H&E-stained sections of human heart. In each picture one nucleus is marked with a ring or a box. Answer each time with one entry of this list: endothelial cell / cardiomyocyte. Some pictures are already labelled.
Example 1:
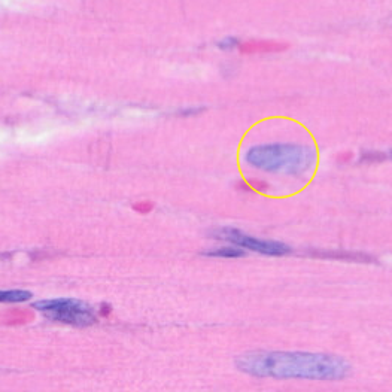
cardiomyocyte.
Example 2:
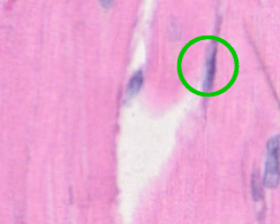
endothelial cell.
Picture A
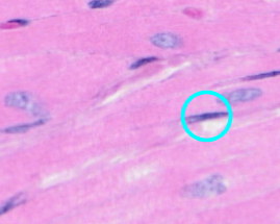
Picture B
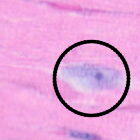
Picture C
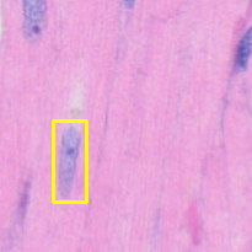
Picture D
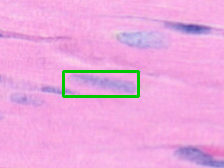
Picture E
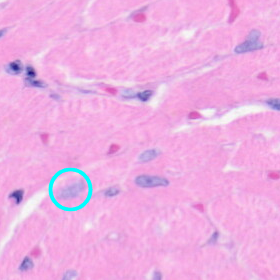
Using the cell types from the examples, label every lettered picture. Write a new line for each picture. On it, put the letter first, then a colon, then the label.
A: endothelial cell.
B: cardiomyocyte.
C: cardiomyocyte.
D: cardiomyocyte.
E: cardiomyocyte.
